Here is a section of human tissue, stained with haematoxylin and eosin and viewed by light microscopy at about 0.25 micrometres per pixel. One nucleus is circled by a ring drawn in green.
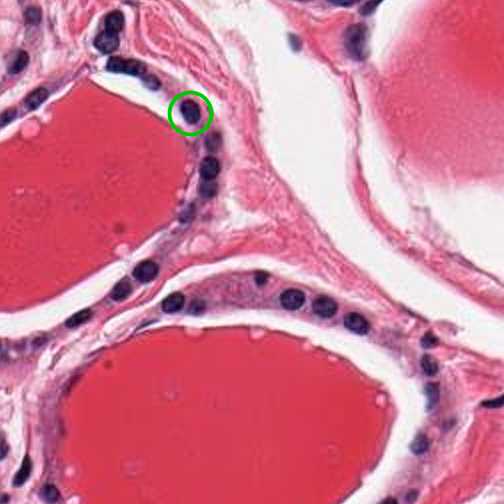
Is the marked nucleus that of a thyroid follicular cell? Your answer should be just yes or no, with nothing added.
yes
